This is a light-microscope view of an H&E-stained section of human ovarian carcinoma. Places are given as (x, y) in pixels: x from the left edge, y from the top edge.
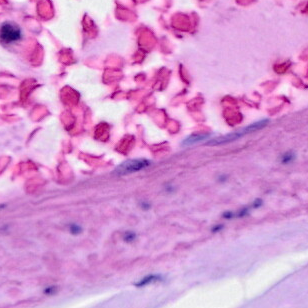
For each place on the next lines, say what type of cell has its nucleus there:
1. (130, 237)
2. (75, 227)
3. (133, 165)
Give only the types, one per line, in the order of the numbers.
smooth muscle cell
smooth muscle cell
endothelial cell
